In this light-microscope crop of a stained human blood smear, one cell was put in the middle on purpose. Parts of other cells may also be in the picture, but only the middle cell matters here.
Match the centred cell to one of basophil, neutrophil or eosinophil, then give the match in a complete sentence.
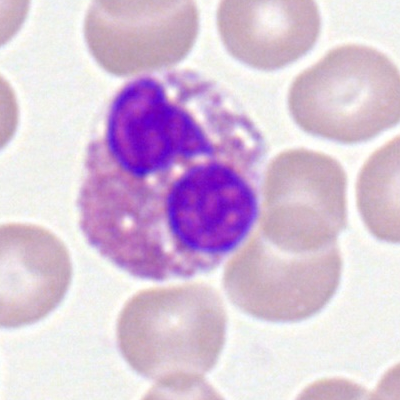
Occupying the centre of the crop is an eosinophil.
